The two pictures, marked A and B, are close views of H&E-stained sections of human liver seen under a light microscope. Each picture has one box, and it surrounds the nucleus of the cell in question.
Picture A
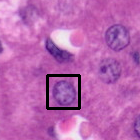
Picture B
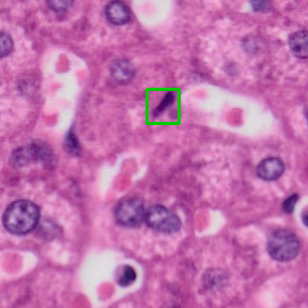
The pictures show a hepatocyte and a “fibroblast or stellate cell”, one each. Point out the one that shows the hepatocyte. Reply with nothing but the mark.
A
